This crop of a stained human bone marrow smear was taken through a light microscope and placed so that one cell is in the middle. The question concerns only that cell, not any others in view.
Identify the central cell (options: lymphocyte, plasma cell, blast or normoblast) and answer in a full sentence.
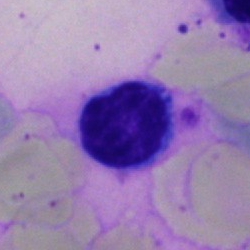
Classified as a lymphocyte is the cell in the middle of this crop.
